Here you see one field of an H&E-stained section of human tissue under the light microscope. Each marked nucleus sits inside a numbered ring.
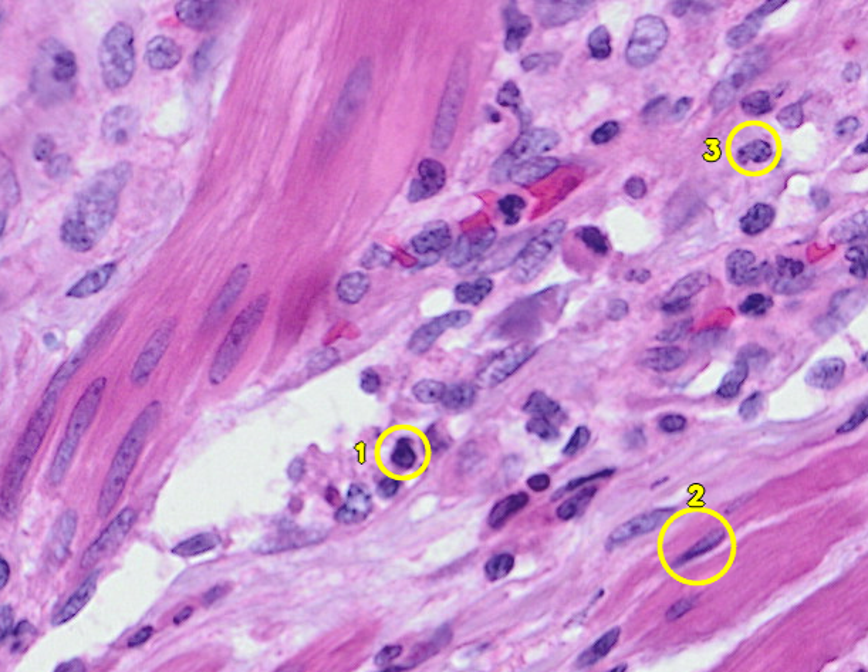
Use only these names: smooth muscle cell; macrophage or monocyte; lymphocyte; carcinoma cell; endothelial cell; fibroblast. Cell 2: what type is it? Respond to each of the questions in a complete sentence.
The cell referred to as 2 is a smooth muscle cell.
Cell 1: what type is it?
The numbered cell 1 is identified here as a lymphocyte.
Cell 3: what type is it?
The cell given label 3 is a lymphocyte.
